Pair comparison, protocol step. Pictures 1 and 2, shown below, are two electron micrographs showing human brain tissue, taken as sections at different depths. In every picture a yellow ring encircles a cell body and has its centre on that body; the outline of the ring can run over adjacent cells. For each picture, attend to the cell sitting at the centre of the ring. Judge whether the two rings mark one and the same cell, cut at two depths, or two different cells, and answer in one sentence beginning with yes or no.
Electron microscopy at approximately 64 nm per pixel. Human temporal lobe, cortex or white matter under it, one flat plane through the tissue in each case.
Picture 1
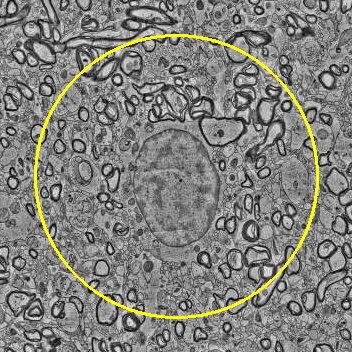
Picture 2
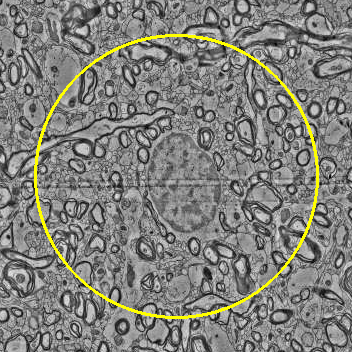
No, the first ring and the second ring mark different cells.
